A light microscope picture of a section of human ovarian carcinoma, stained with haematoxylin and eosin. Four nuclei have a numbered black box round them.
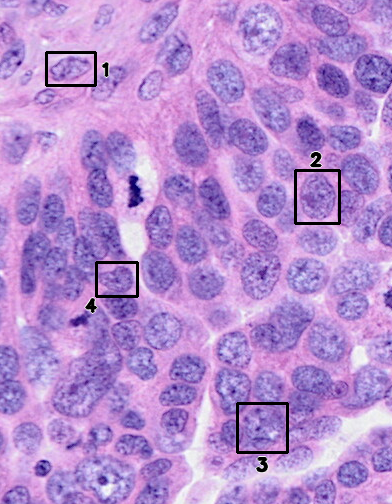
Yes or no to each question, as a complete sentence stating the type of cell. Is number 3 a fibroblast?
No, cell 3 is to be read as a carcinoma cell, not a fibroblast.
